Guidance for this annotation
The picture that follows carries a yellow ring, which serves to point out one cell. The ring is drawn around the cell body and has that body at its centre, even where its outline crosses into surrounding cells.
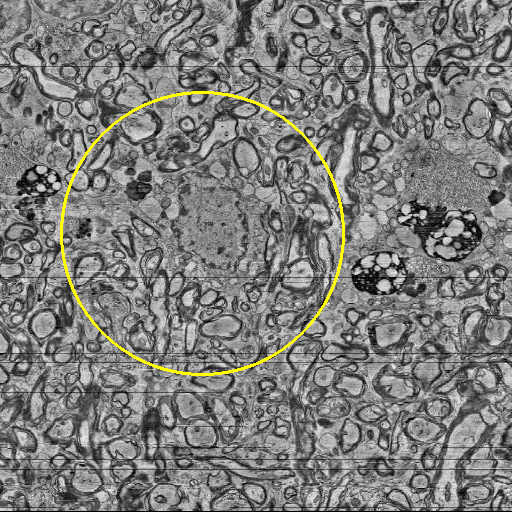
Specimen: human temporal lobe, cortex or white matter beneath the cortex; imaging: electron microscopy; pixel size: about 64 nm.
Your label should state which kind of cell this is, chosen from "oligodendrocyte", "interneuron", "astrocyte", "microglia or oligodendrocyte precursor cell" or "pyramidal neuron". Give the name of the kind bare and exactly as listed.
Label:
astrocyte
